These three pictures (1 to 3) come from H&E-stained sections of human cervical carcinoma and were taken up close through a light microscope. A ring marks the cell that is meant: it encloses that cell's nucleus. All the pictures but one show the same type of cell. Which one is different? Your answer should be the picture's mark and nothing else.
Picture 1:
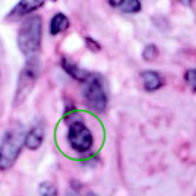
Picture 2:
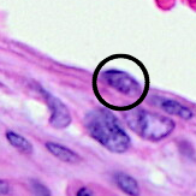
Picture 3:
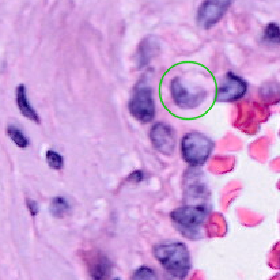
1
